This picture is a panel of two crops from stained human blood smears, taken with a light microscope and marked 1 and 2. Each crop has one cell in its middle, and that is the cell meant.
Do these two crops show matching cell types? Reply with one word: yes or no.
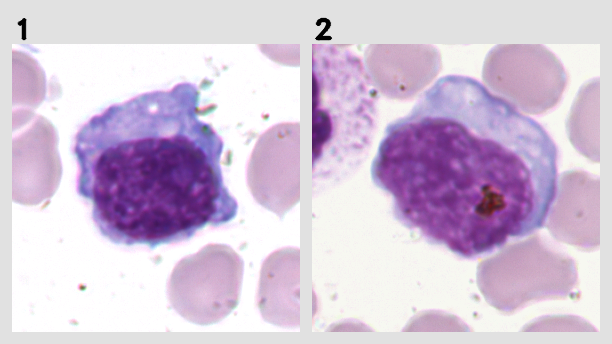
yes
